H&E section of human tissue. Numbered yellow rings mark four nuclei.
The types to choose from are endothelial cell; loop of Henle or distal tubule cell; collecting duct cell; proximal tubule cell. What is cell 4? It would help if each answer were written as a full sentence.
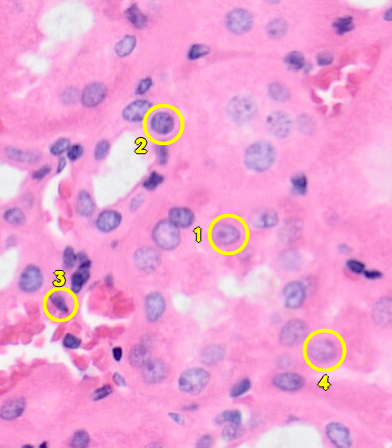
Numbered cell 4 is a proximal tubule cell in this tissue section.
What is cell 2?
Nucleus 2 in this section belongs to a collecting duct cell.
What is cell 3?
The nucleus marked 3 is the nucleus of an endothelial cell.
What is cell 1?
The mark numbered 1 indicates the nucleus of a proximal tubule cell.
